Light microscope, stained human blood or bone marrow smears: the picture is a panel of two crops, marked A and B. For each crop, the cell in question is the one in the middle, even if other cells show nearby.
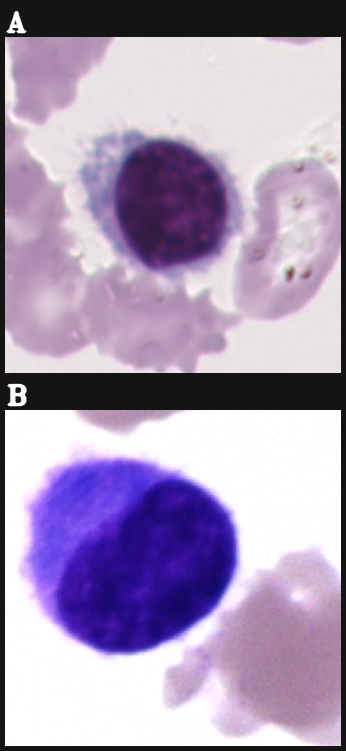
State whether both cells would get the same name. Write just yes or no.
yes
